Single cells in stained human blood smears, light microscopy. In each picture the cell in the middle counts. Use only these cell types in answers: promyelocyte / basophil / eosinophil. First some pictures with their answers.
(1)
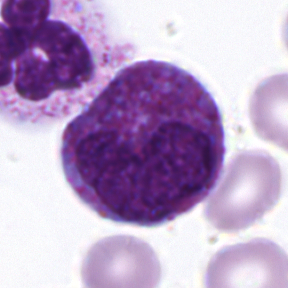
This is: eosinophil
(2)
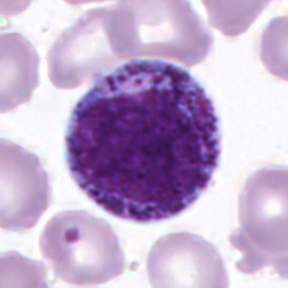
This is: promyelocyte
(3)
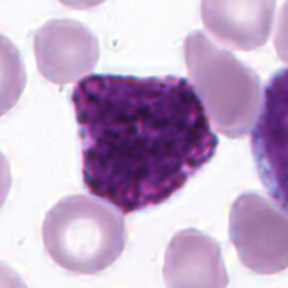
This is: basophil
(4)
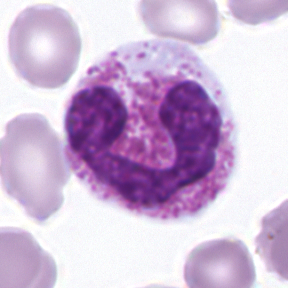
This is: eosinophil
